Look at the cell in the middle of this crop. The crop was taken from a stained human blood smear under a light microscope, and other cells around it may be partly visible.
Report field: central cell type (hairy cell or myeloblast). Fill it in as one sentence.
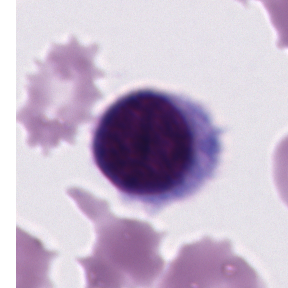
Here the cell in the middle is a hairy cell.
